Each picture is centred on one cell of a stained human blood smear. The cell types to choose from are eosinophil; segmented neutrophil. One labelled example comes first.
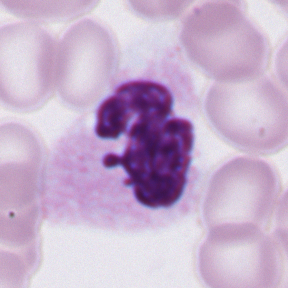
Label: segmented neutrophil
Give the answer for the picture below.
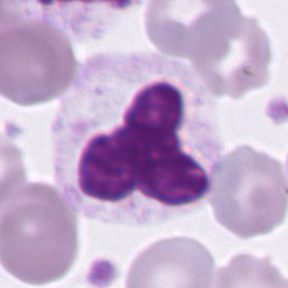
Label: segmented neutrophil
